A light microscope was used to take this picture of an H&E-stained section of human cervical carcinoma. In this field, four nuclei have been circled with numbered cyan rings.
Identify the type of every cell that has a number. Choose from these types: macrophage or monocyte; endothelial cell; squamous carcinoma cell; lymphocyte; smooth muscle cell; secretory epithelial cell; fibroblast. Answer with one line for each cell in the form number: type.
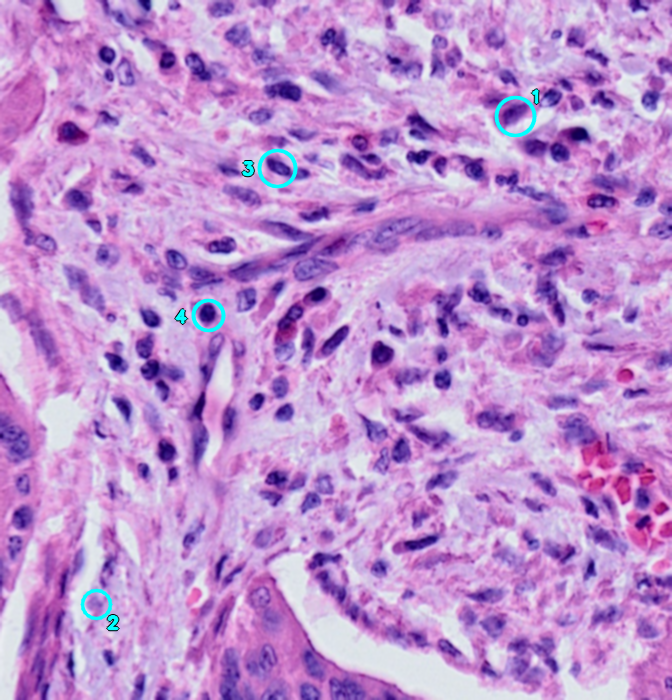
1: macrophage or monocyte
2: fibroblast
3: lymphocyte
4: lymphocyte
